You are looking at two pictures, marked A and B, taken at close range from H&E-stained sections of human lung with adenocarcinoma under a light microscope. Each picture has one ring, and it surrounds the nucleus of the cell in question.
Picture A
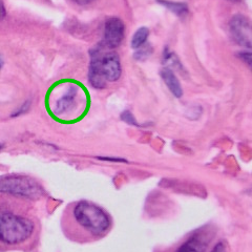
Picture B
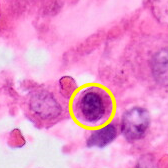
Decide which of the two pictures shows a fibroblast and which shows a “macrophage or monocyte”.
A: fibroblast
B: macrophage or monocyte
